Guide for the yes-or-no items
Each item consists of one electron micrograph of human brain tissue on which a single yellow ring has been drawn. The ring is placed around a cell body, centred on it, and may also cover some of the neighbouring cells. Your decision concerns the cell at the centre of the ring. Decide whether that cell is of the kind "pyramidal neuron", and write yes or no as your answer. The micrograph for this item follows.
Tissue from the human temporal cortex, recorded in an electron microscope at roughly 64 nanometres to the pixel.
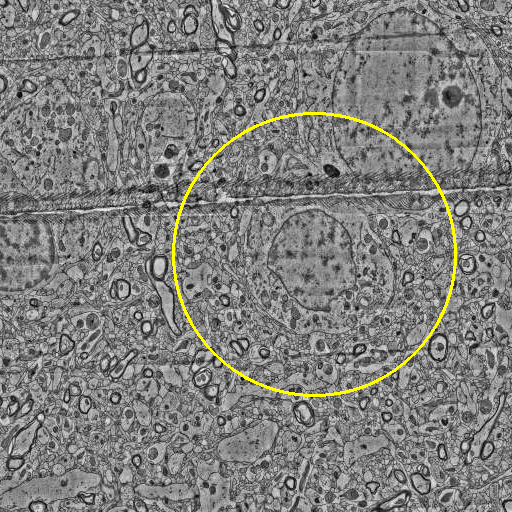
yes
